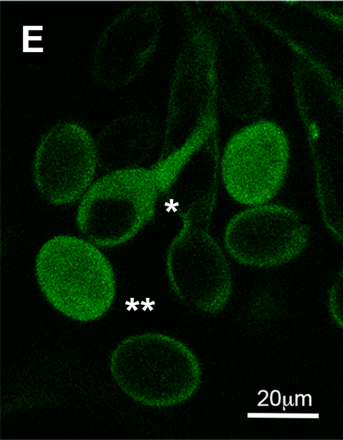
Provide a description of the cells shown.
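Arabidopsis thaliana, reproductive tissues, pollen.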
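The grains are oval and all of about the same size. Some grains glow evenly bright green throughout, while others show only a faint green rim with a dark interior. One grain has put out a tube that runs upward from it, so it is germinating, whereas the grains around it have no tube. Faint outlines of elongated stigma cells can be made out in the background at the top.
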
